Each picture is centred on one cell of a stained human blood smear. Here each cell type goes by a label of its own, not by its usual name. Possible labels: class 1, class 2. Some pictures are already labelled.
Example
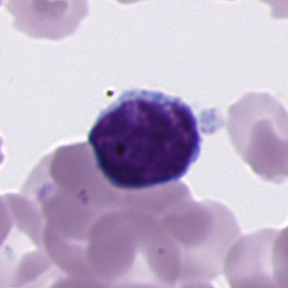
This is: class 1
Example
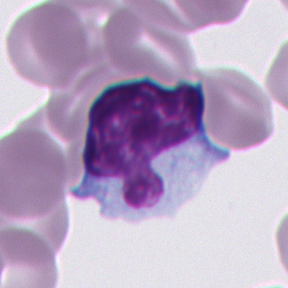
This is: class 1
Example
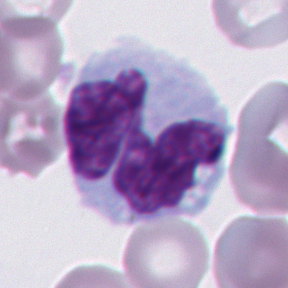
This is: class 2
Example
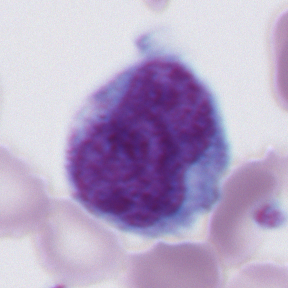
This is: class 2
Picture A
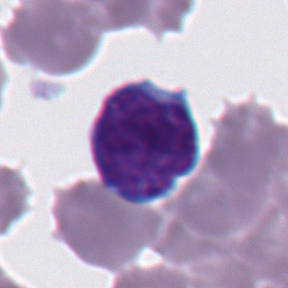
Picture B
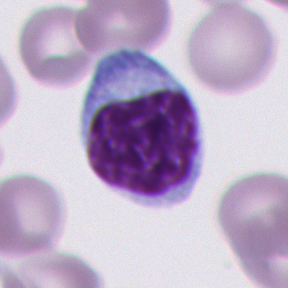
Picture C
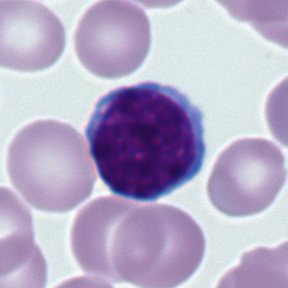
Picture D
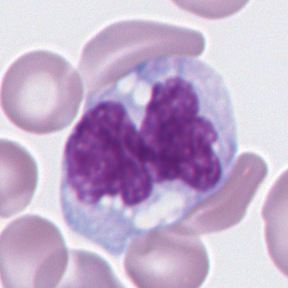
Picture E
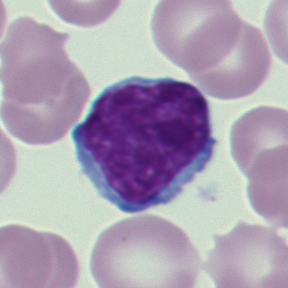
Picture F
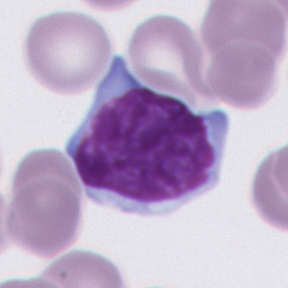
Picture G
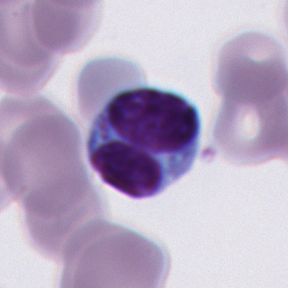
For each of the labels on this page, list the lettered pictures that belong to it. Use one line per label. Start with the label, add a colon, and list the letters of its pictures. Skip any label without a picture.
class 1: A, B, C, E, F, G
class 2: D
